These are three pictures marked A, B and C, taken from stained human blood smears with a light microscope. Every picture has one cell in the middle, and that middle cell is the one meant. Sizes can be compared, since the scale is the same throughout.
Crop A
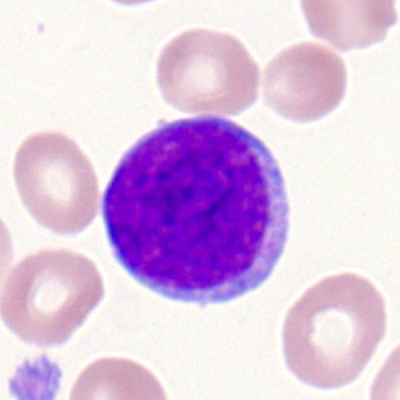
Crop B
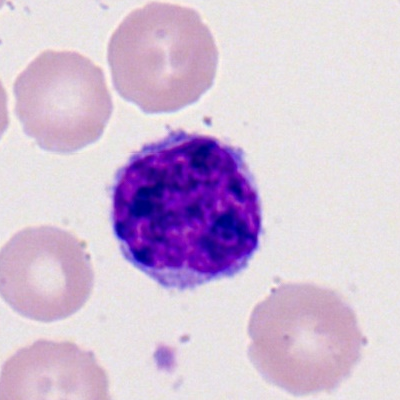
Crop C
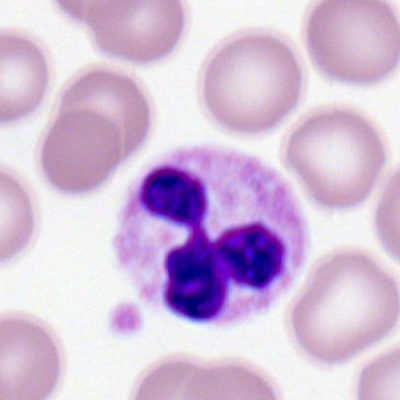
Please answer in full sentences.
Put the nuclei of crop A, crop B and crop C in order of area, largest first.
From the largest down, the order is A, B, C.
